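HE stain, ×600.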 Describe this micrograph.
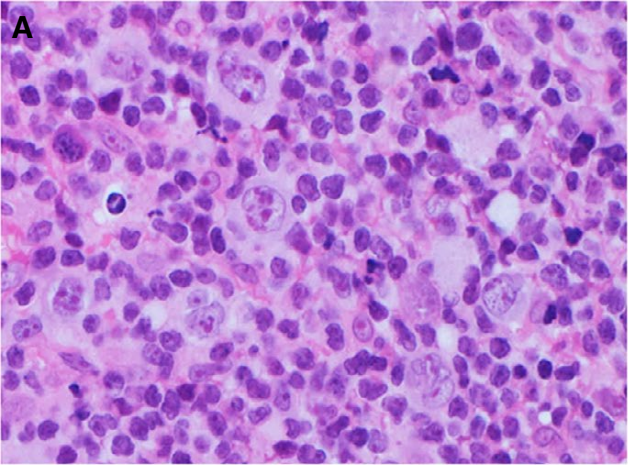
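Sheets of small and medium-sized lymphoid cells fill the field, with dark, crowded nuclei whose outlines are often indented or irregular. Scattered between them are several larger cells with pale, vesicular nuclei and visible nucleoli set in pale pink cytoplasm. A few pink areas of cytoplasm and stroma break up the cellular sheets. The picture is of small- and medium-sized lymphoid cells with irregular nuclear contours, with occasional large cells resembling Hodgkin and Reed Sternberg cells.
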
